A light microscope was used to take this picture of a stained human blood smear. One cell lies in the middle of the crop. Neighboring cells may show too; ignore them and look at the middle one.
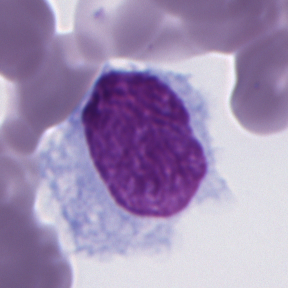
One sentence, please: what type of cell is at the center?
At the center of the crop sits a hairy cell.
